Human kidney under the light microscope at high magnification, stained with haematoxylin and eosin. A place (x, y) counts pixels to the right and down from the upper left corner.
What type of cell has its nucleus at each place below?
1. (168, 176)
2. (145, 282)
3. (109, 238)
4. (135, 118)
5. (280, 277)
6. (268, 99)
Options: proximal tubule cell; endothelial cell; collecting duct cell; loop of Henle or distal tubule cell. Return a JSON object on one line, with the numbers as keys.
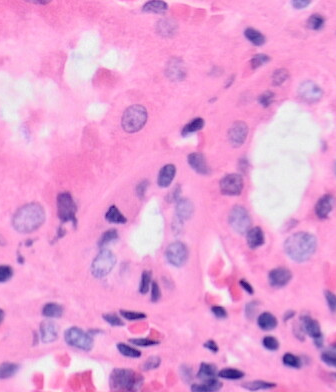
{"1": "collecting duct cell", "2": "collecting duct cell", "3": "collecting duct cell", "4": "proximal tubule cell", "5": "loop of Henle or distal tubule cell", "6": "loop of Henle or distal tubule cell"}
